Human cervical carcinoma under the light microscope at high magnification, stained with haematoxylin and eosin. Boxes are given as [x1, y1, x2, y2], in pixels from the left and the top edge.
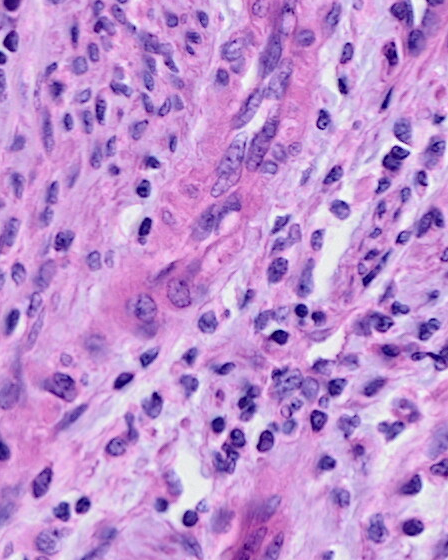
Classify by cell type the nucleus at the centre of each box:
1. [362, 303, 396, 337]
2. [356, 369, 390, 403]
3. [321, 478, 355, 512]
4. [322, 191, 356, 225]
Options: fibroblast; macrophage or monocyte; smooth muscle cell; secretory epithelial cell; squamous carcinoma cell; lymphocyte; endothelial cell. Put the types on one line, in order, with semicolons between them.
lymphocyte; lymphocyte; macrophage or monocyte; lymphocyte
